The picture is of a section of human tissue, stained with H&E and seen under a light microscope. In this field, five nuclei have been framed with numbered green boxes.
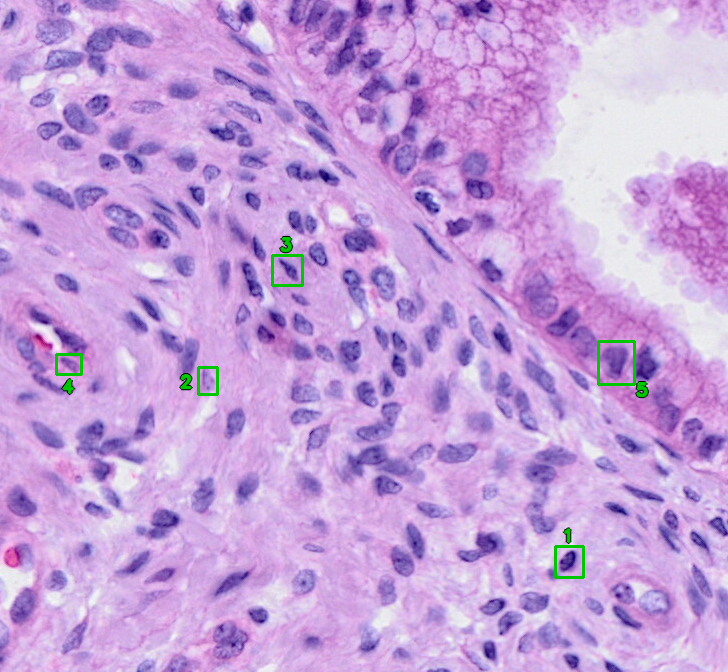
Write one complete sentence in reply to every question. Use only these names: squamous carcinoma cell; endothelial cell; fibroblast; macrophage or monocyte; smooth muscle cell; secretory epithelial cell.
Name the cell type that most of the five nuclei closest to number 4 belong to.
Smooth muscle cells make up most of the five nuclei closest to number 4.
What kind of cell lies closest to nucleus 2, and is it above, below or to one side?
The nearest one is a fibroblast, found above and to the left of nucleus 2.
